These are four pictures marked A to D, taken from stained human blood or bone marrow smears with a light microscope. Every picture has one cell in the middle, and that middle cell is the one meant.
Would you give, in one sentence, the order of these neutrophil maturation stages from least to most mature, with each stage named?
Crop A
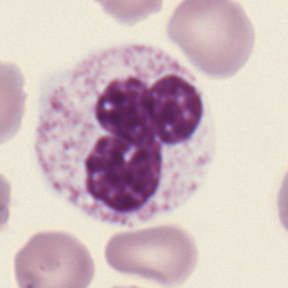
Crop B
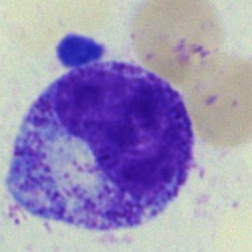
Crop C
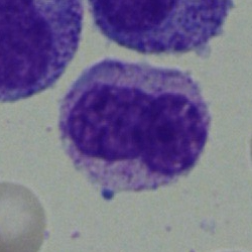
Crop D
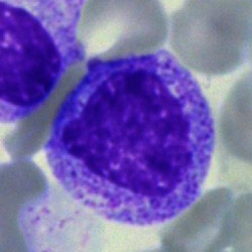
The order of maturity, lowest to highest, is crop D (a myelocyte), crop B (a metamyelocyte), crop C (a band neutrophil) and crop A (a segmented neutrophil).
